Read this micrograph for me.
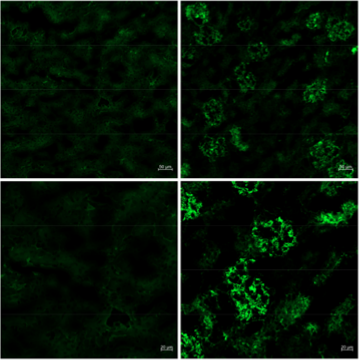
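These are sections of kidney in which the glomeruli show up as rounded, lobulated tufts scattered through the surrounding tissue. In the right-hand images the tufts are lit by bright, coarse, granular green deposits that outline their lobules, so each glomerulus stands out sharply against the dim surrounding tubules. In the left-hand images the glomeruli are only faintly green and hard to tell from the background. The lower, higher-magnification images show the lumpy, clumped pattern of the deposits within the tufts more clearly.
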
